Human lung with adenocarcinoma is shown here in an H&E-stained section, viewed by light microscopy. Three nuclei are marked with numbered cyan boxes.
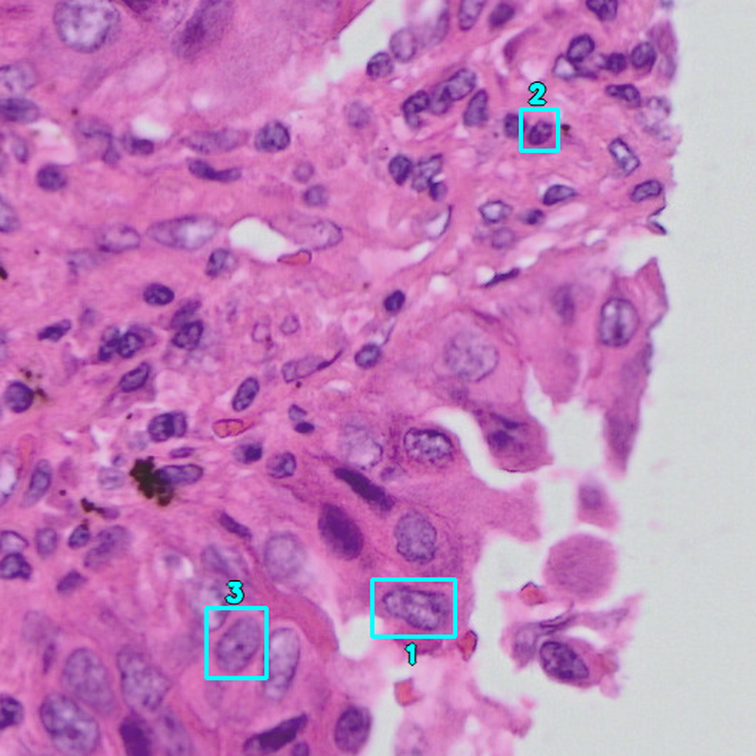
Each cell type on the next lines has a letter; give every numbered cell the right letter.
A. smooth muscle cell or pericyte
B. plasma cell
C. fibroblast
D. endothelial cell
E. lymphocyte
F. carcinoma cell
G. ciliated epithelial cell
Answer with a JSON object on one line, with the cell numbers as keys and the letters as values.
{"1": "F", "2": "B", "3": "F"}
